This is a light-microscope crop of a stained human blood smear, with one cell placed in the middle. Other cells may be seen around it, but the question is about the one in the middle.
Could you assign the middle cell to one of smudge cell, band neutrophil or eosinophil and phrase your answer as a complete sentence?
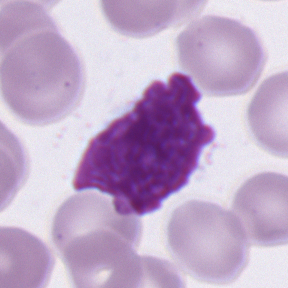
The cell at the centre of the field is a smudge cell.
